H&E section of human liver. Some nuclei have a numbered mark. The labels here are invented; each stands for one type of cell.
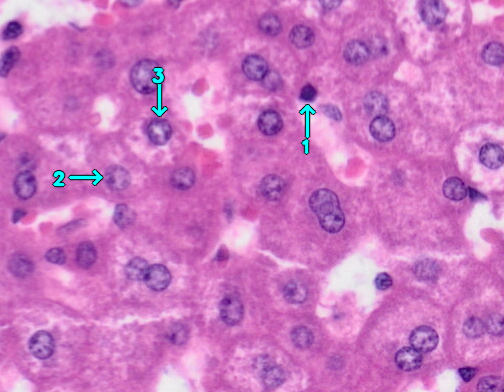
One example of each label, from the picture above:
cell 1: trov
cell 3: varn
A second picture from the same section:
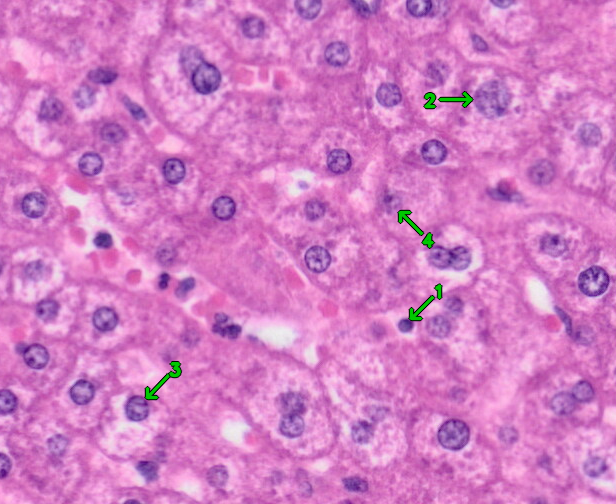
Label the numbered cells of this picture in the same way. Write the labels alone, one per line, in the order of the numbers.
trov
varn
varn
varn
